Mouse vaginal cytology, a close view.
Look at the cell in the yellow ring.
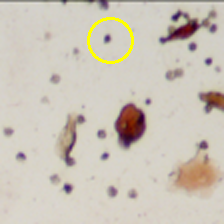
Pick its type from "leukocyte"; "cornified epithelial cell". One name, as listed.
leukocyte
